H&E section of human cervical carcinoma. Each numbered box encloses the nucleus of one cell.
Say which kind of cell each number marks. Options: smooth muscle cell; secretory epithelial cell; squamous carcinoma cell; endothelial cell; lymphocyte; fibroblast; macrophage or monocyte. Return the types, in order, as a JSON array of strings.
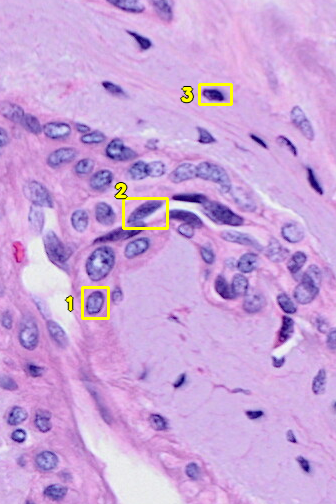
["smooth muscle cell", "endothelial cell", "fibroblast"]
